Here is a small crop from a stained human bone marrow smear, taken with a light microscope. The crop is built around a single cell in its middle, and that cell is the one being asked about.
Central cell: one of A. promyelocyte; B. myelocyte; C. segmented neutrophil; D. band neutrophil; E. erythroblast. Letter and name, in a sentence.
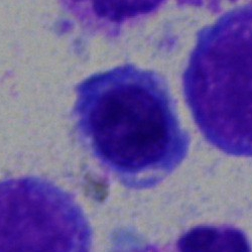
Option E is correct in that the central cell is an erythroblast.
